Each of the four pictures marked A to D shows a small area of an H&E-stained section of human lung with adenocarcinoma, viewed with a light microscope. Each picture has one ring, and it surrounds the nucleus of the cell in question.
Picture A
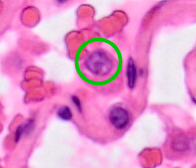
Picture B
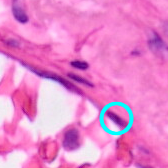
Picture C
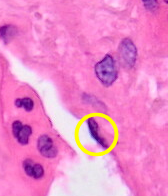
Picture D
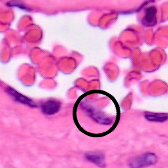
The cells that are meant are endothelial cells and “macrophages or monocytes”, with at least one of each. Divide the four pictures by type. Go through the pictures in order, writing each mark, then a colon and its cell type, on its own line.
A: macrophage or monocyte
B: endothelial cell
C: endothelial cell
D: endothelial cell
